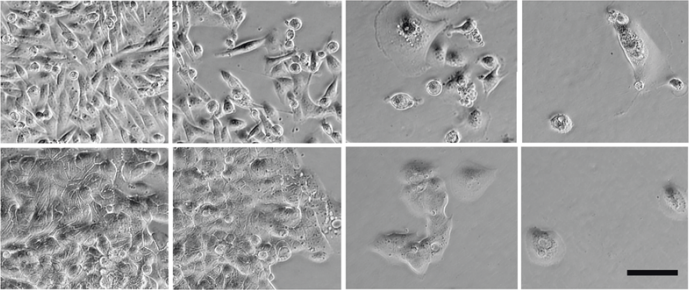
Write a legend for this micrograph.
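In the leftmost images the cells form a dense, crowded layer of elongated, spindle-shaped and polygonal cells that touch and overlap one another. In the next images the layer is thinner and patchier, with gaps between cells, and in the upper row some cells are rounded. In the two rightmost images only a few scattered cells remain. Many of these are rounded with a bright rim and granular, vacuolated cytoplasm, and others are large and flattened, with irregular outlines. Much of the field in these images is empty background.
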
